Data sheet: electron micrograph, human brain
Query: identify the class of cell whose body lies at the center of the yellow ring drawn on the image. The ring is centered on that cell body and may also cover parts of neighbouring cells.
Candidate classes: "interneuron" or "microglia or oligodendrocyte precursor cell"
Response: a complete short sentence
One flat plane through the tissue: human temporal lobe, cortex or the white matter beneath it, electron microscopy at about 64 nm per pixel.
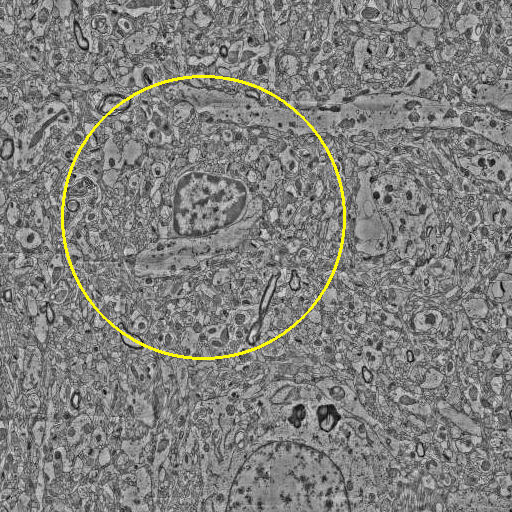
At the center of the ring lies a microglial cell or oligodendrocyte precursor cell.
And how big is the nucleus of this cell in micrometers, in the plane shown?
Roughly 5 micrometres by 4 micrometres, in this plane.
